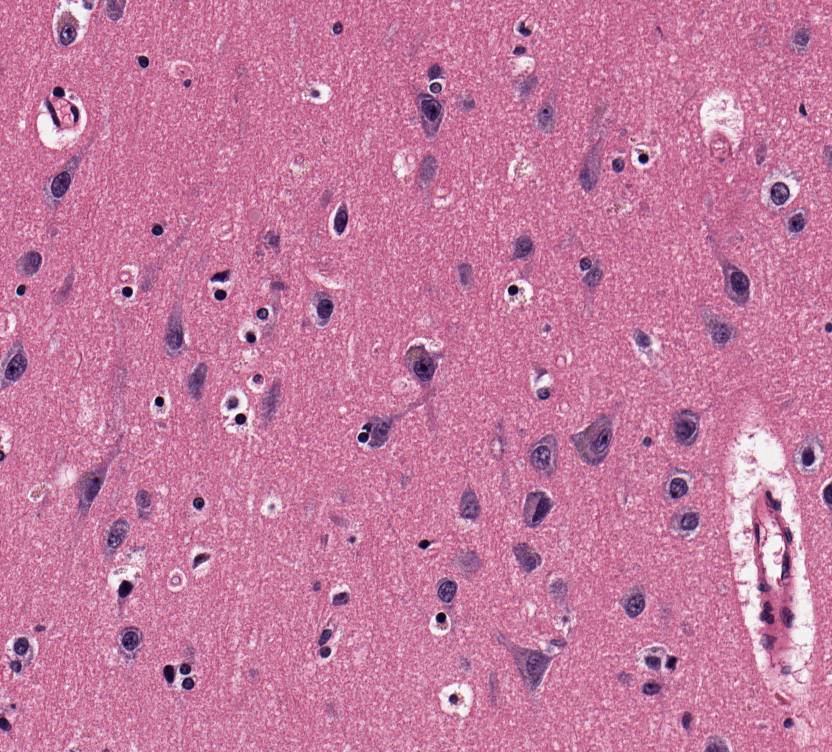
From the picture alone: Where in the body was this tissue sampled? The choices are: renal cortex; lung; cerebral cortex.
cerebral cortex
